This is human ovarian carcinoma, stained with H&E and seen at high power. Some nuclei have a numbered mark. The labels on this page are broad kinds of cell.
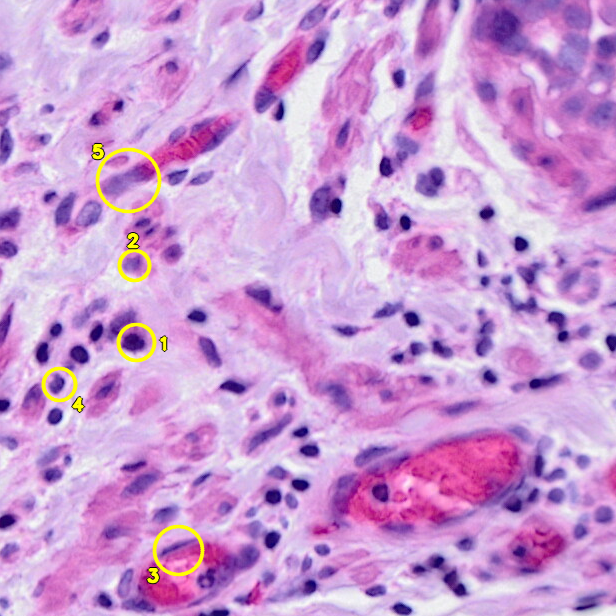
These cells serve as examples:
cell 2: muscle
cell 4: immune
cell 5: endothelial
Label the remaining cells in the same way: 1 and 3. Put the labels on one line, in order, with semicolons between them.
immune; endothelial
